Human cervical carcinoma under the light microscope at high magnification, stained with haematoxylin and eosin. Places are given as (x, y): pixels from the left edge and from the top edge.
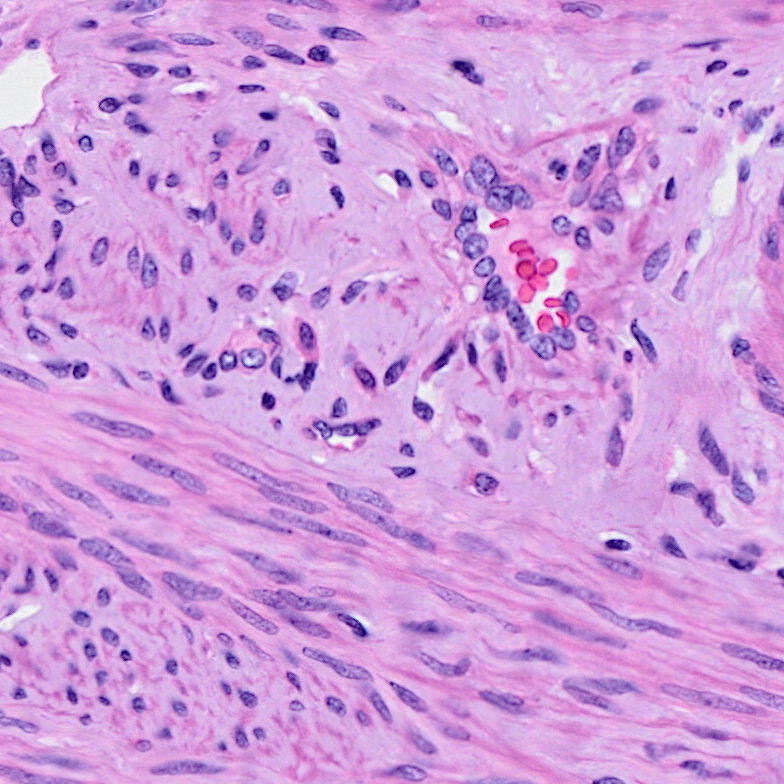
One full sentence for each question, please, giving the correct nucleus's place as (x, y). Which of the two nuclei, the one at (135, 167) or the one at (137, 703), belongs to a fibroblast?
The cell to which the nucleus at (135, 167) belongs is a fibroblast.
